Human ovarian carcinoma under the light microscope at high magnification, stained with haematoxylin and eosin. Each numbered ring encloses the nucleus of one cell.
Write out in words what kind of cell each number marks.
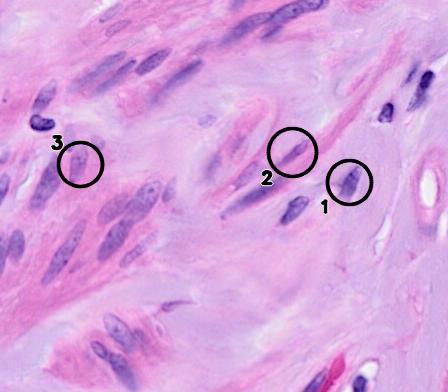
Cell 1 is a fibroblast. Cells 2 and 3 are smooth muscle cells.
